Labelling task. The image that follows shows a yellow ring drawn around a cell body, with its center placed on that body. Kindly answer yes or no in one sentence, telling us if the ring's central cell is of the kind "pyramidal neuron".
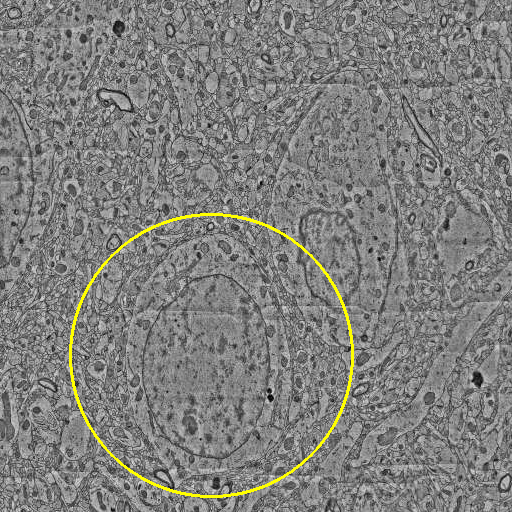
Yes, in this image the cell at the ring's center is of that kind.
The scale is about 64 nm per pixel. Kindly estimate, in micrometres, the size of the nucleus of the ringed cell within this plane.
In this plane the nucleus measures roughly 12 by 8 micrometers.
